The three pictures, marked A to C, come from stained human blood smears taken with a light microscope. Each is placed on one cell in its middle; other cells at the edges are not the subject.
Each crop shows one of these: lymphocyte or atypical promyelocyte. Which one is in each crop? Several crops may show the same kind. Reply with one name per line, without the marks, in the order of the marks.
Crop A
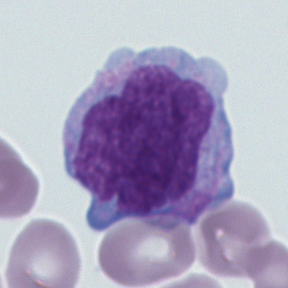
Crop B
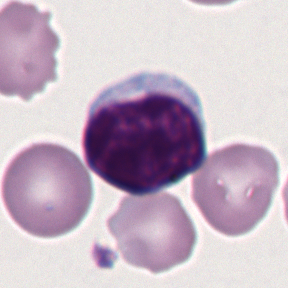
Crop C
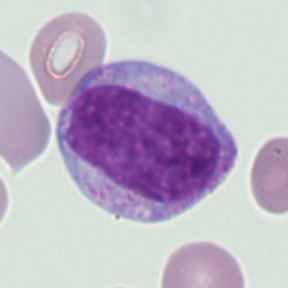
atypical promyelocyte
lymphocyte
atypical promyelocyte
